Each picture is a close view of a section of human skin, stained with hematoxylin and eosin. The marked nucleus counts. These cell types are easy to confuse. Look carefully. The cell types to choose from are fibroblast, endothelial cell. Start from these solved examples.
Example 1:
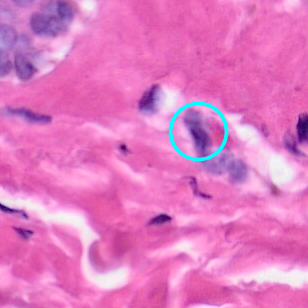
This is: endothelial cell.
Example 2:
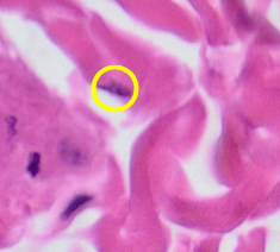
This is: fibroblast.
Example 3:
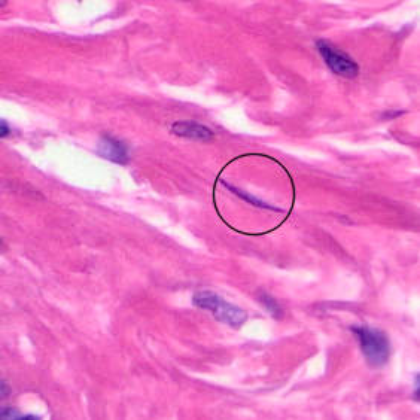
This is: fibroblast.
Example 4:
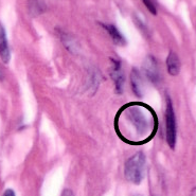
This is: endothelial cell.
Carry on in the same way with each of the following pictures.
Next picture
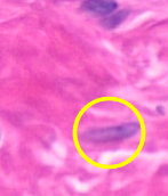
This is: fibroblast.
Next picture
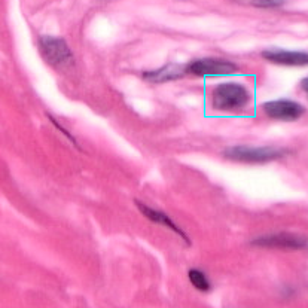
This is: endothelial cell.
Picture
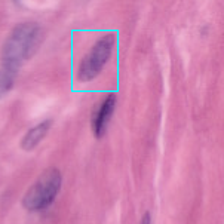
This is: fibroblast.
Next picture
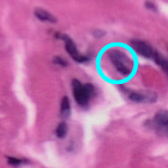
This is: endothelial cell.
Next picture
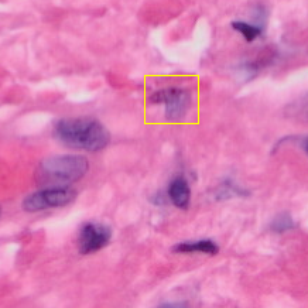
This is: fibroblast.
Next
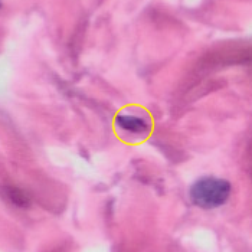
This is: fibroblast.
